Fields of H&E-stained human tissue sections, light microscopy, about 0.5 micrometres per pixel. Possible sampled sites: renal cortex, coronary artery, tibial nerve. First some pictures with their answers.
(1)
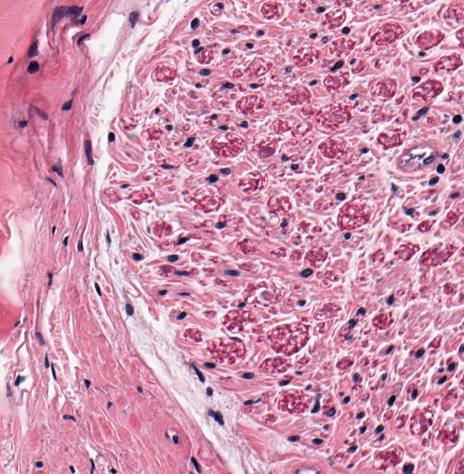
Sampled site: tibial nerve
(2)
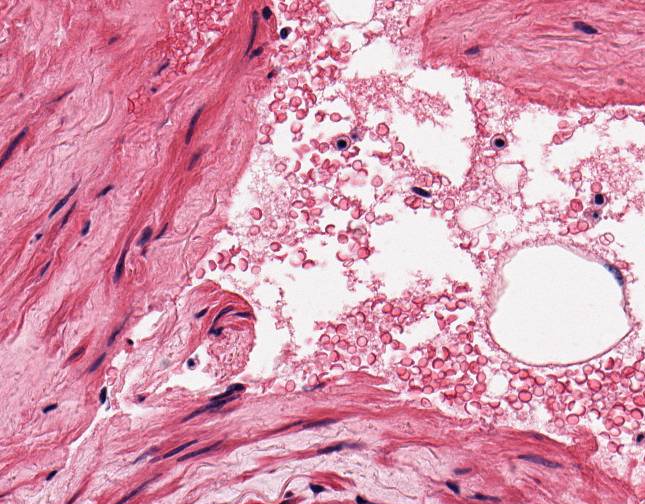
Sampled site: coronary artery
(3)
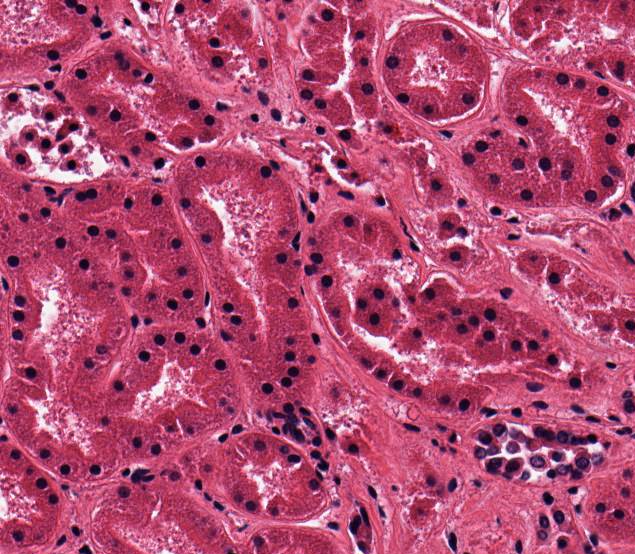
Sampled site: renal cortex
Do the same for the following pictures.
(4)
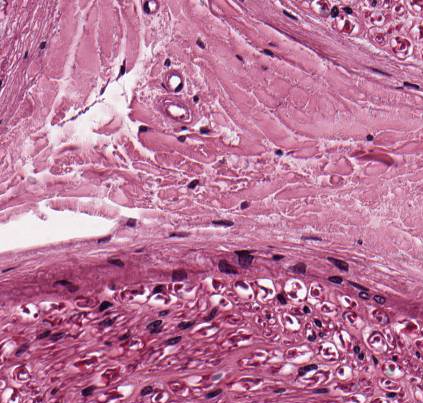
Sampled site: tibial nerve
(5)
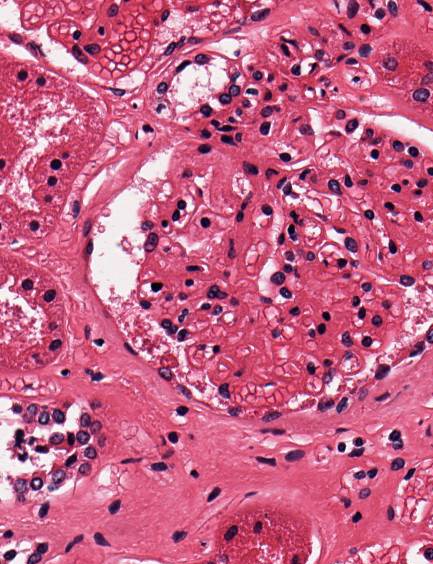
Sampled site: renal cortex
